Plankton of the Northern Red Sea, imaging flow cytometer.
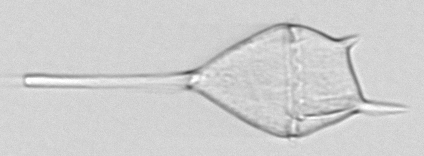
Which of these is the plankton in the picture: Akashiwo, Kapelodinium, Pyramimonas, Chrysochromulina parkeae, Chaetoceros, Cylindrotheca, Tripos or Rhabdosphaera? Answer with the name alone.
Tripos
